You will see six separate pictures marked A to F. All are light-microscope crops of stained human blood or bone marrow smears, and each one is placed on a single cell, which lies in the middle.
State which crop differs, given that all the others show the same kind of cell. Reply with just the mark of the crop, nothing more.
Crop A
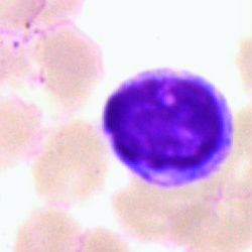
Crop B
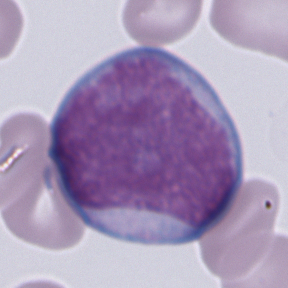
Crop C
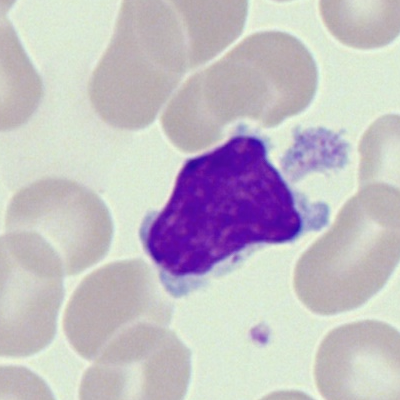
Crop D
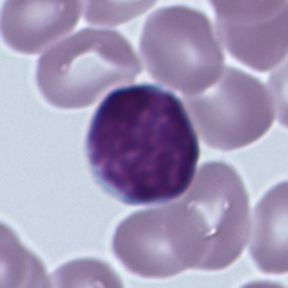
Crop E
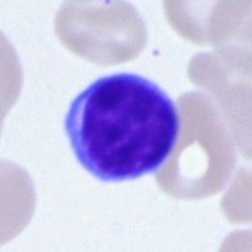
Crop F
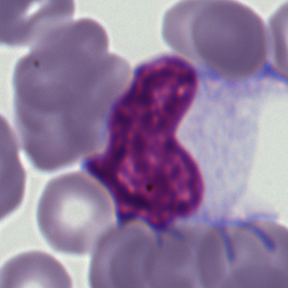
B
